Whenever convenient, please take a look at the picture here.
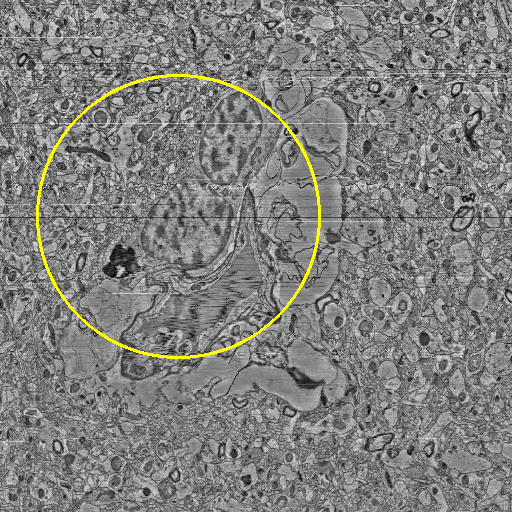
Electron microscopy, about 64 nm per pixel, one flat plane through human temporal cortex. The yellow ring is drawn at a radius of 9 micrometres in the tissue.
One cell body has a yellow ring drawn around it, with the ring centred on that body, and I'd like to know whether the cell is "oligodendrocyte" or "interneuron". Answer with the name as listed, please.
oligodendrocyte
